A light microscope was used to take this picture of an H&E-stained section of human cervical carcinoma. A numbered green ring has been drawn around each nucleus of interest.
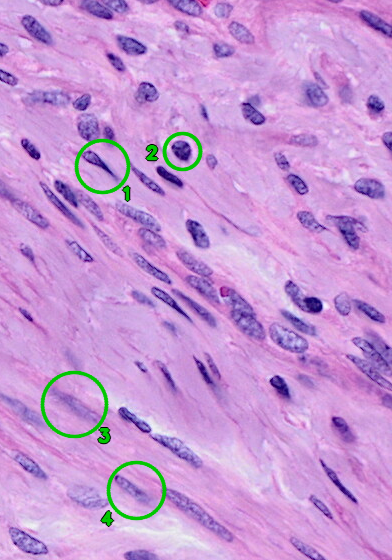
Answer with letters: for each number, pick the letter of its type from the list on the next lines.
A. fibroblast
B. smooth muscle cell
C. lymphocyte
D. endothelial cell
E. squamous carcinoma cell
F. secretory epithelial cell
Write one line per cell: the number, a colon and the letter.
1: A
2: C
3: B
4: B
